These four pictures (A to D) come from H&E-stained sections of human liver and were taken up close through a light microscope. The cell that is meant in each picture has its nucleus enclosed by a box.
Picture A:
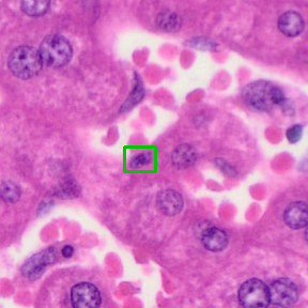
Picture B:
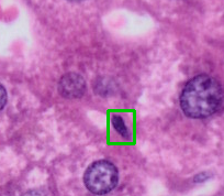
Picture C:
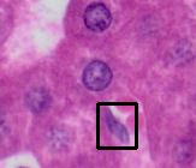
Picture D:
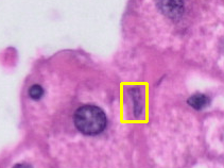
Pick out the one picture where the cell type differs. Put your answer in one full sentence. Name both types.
Unlike the rest, which show “fibroblasts or stellate cells”, picture C shows an endothelial cell.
